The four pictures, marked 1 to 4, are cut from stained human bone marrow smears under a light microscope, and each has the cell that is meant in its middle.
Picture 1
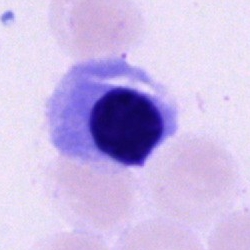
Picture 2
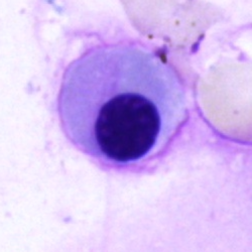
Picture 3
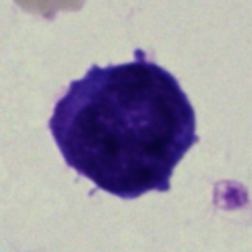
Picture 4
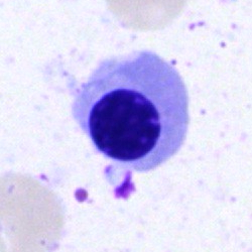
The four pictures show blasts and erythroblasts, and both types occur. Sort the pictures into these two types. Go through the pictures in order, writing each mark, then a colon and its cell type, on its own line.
1: erythroblast
2: erythroblast
3: blast
4: erythroblast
